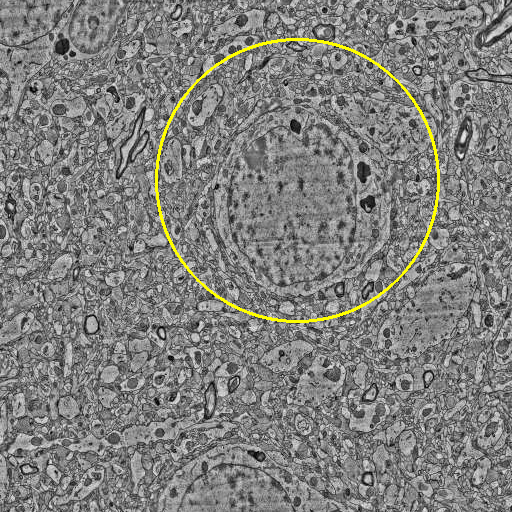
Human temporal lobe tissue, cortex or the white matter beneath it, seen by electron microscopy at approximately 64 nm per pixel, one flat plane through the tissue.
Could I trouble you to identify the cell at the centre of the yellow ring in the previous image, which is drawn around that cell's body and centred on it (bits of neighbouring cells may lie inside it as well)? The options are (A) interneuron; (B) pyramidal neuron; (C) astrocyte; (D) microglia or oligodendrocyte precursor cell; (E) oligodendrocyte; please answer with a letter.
A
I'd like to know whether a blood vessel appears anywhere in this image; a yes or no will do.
No, there is no blood vessel.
